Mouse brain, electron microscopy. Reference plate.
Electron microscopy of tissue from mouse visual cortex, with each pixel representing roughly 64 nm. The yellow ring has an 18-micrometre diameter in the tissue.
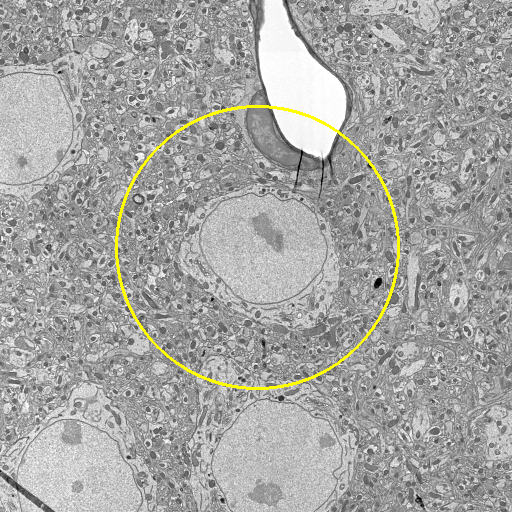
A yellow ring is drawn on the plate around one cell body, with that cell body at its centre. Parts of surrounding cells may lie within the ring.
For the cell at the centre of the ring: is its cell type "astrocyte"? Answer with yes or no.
No, its cell type is another one.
